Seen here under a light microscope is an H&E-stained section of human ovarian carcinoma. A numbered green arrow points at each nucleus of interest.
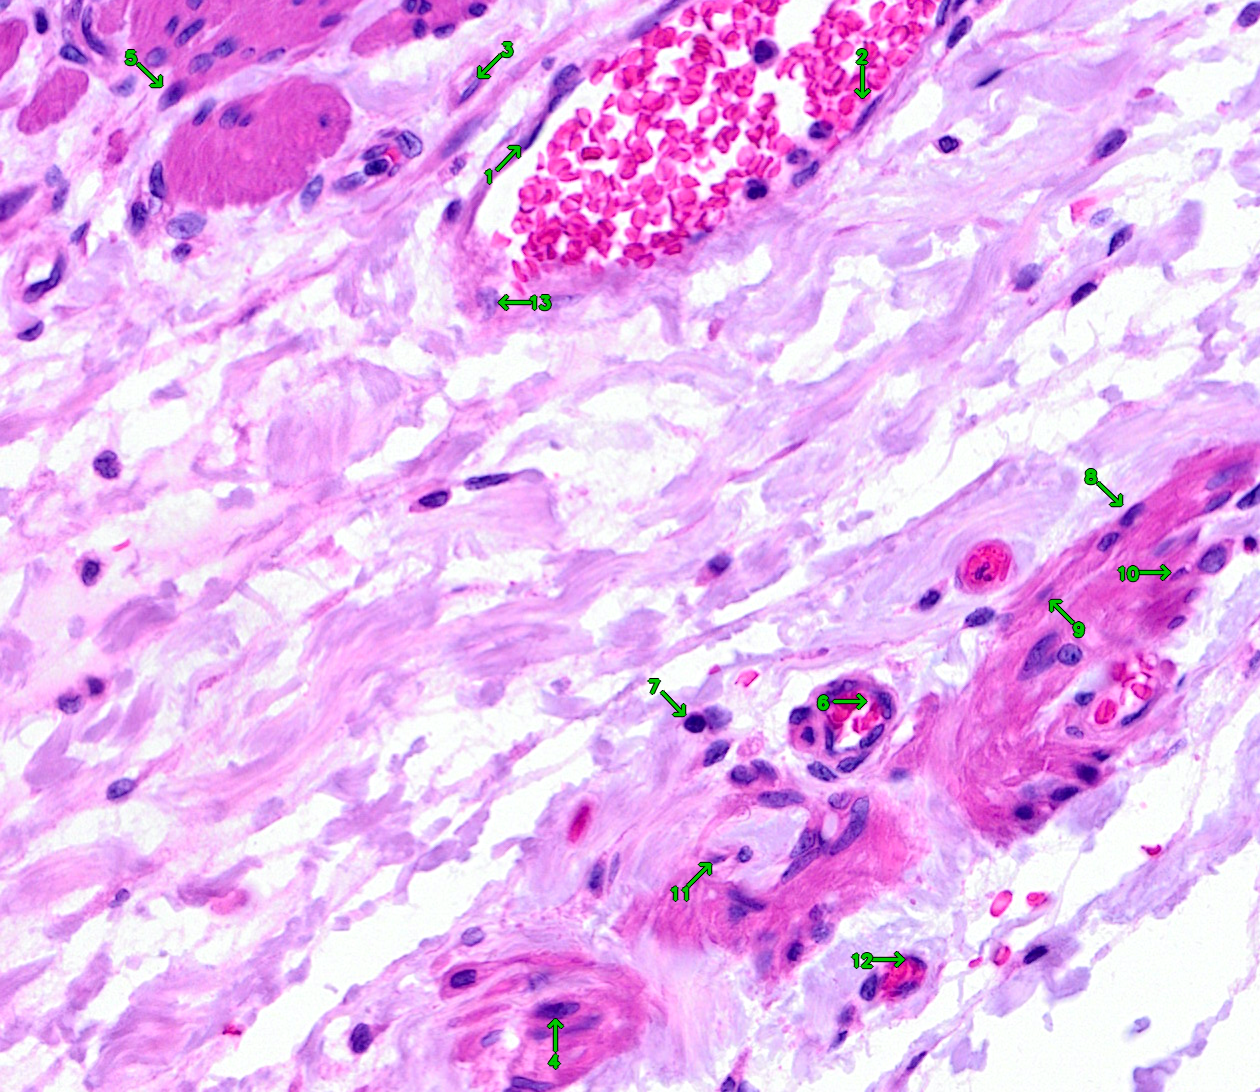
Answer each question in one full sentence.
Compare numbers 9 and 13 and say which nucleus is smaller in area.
The smaller nucleus is 9, and 13 covers roughly 4 times its area.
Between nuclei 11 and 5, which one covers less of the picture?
Number 11 is smaller, since number 5 takes up about 4 times as much area.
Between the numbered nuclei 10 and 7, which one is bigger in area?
Number 7 is larger; its area is about 3 times that of number 10.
